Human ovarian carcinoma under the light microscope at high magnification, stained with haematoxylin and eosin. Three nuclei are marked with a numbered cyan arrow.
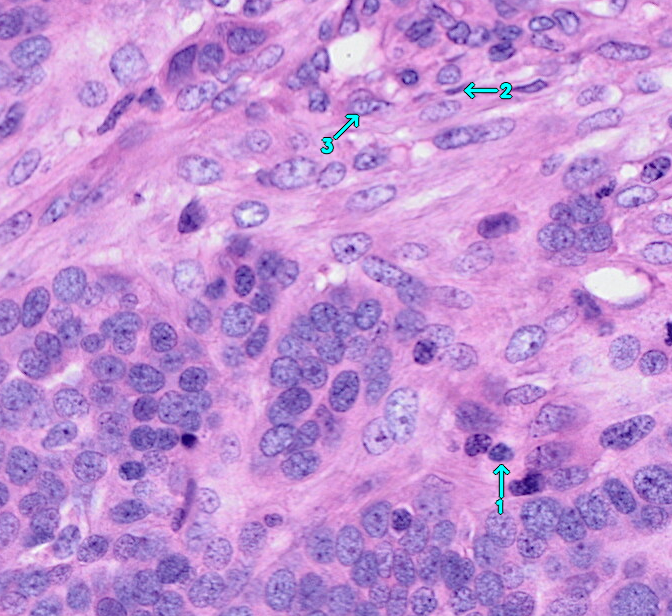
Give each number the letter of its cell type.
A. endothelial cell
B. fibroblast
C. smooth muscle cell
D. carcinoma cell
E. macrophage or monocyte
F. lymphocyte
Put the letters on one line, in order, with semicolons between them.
F; B; B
